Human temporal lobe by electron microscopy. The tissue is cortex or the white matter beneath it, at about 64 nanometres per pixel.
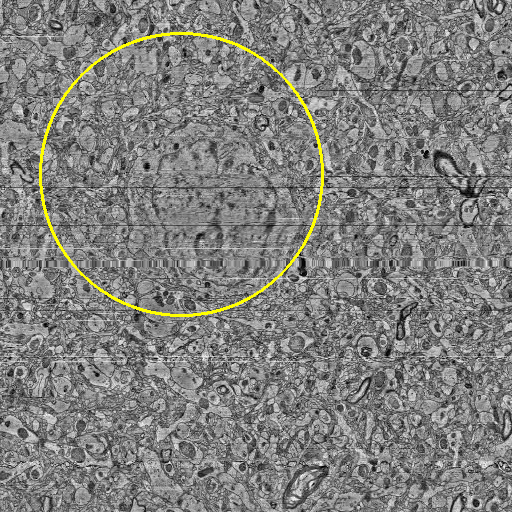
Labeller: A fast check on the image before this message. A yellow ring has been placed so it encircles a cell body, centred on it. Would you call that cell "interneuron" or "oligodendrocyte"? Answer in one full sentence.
In this image, an interneuron is the cell on which the yellow ring is centred.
